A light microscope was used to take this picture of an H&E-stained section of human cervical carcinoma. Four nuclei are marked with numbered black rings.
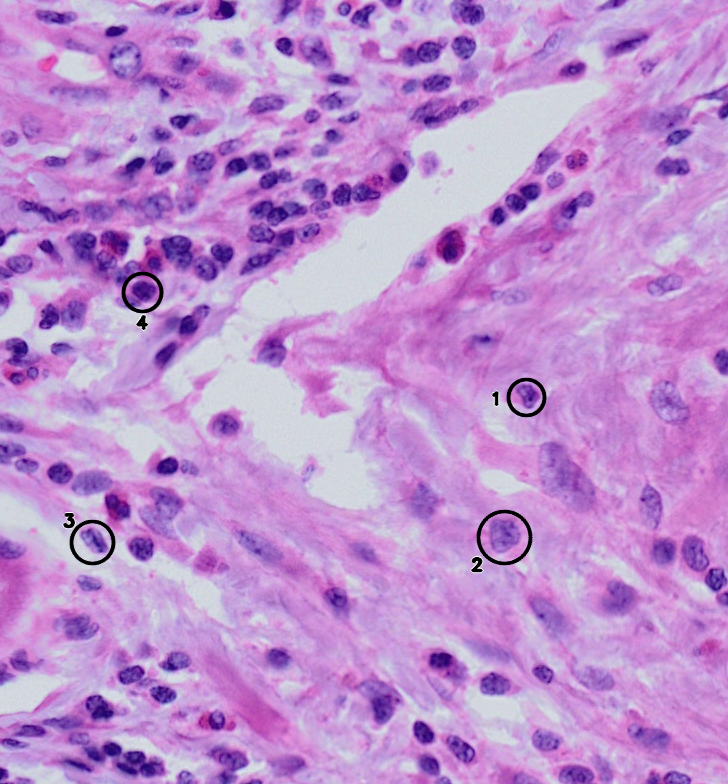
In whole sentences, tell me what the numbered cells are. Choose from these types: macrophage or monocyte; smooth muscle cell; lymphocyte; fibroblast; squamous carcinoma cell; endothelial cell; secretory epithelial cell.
Cell 1 is a macrophage or monocyte, cell 2 is a macrophage or monocyte, cell 3 is a lymphocyte and cell 4 is a lymphocyte.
